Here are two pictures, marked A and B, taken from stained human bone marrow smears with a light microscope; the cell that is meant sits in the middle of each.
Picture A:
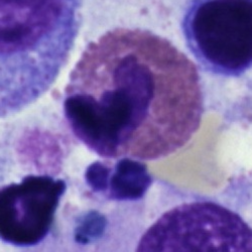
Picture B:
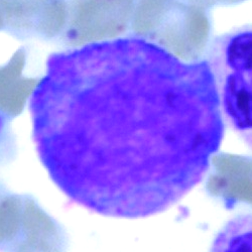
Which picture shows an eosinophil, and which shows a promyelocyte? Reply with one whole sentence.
Picture B shows a promyelocyte, while picture A shows an eosinophil.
